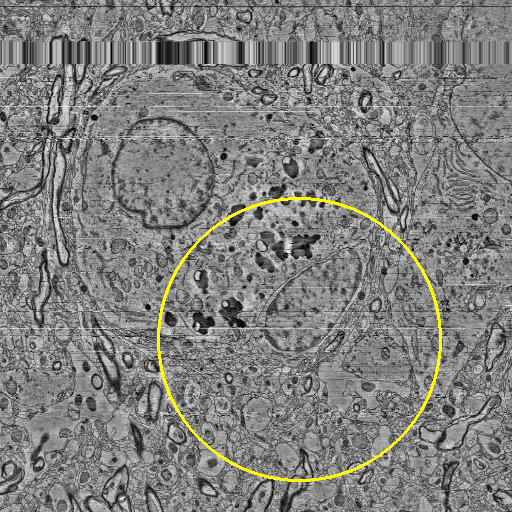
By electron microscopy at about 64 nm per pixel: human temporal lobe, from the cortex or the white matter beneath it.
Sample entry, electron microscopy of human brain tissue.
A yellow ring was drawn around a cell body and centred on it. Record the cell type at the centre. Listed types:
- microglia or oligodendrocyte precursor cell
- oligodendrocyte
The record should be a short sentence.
The cell at the ring's centre is a microglial cell or oligodendrocyte precursor cell.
